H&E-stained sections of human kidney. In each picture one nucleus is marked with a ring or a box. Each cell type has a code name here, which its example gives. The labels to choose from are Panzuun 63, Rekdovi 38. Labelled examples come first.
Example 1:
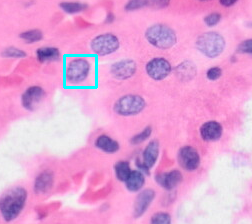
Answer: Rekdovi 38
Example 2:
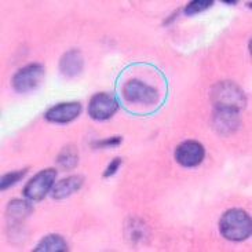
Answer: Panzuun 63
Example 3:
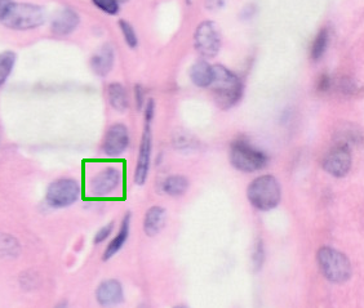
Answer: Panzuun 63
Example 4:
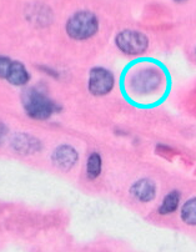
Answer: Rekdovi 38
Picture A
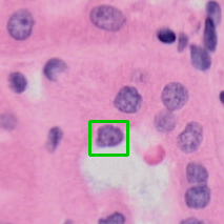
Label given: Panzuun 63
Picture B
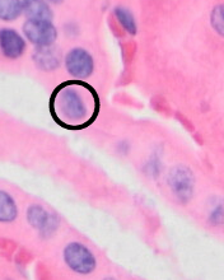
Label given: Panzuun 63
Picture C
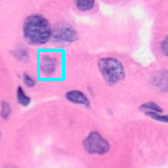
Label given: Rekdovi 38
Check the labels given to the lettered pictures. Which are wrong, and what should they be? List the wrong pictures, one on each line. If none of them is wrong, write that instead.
A should be Rekdovi 38, not Panzuun 63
